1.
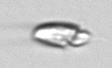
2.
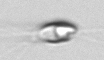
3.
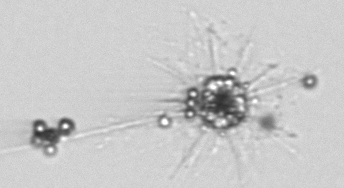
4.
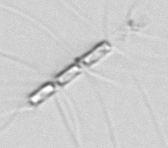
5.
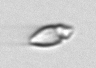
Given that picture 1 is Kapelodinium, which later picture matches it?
5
